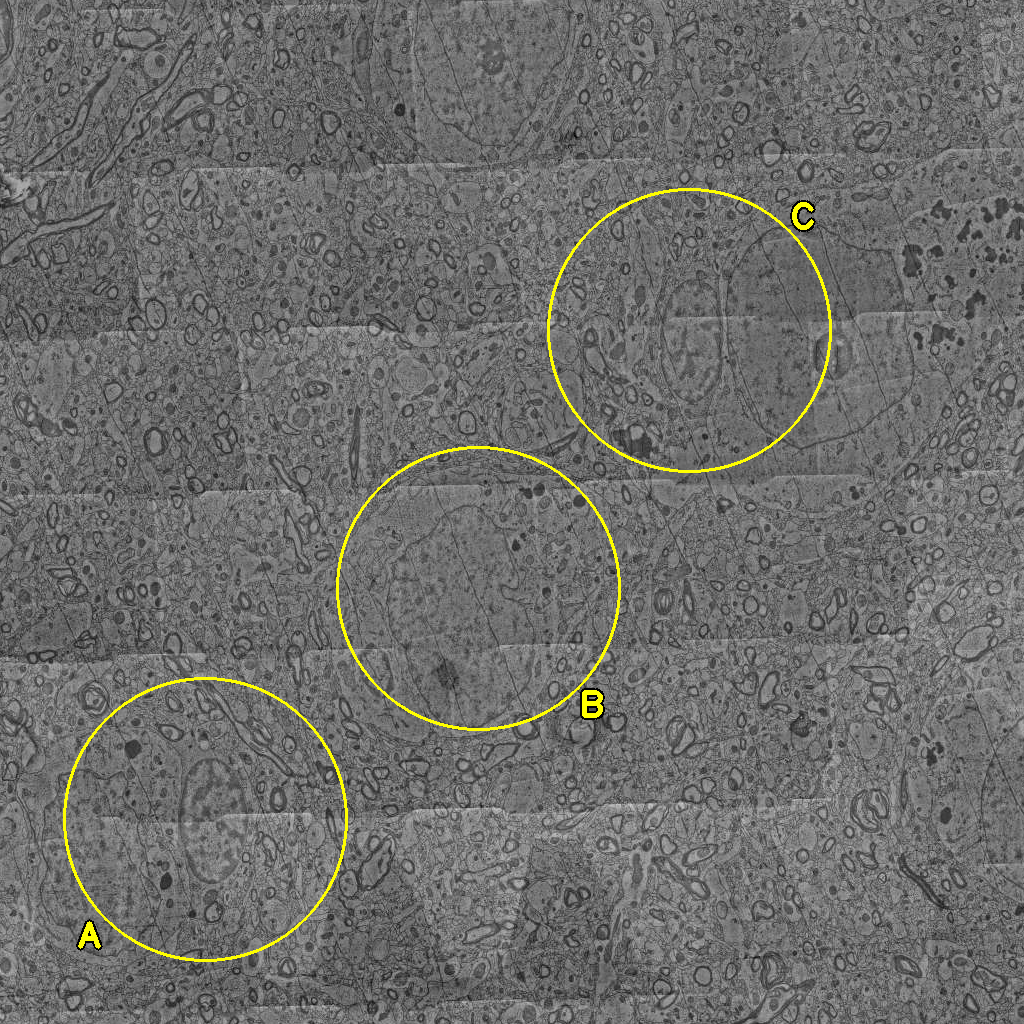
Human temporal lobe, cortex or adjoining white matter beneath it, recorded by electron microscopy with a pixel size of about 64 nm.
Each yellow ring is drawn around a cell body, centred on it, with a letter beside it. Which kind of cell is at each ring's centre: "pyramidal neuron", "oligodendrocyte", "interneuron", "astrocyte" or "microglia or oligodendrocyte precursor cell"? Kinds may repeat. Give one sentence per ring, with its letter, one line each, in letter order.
Ring A is centred on an oligodendrocyte.
Ring B is centred on a pyramidal neuron.
Ring C is centred on an oligodendrocyte.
